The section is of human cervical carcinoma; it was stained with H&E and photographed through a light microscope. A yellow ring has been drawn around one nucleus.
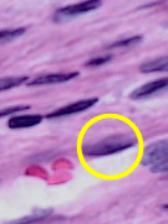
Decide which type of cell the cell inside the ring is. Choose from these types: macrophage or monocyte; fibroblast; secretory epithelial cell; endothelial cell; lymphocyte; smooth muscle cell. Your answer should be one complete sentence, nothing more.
The identity of the cell inside the ring: it is an endothelial cell.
